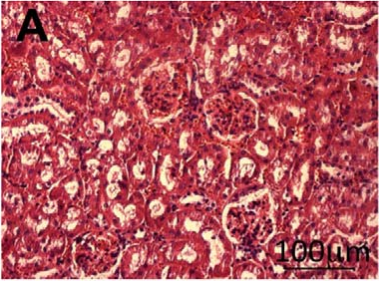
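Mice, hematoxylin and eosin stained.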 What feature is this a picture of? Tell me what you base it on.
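Several round tufts of densely nucleated tissue are scattered among tubule cross-sections. Each tuft is surrounded by a thin clear space and a thin capsule.
Hence: glomeruli.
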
